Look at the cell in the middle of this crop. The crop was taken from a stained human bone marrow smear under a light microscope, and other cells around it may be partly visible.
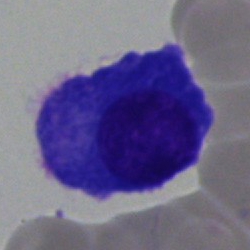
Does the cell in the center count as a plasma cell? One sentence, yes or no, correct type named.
Yes, the cell in the central position is a plasma cell.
